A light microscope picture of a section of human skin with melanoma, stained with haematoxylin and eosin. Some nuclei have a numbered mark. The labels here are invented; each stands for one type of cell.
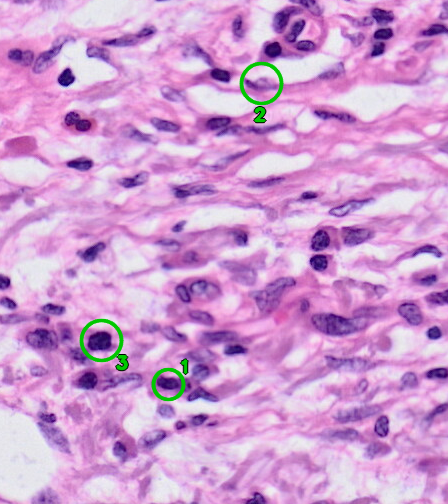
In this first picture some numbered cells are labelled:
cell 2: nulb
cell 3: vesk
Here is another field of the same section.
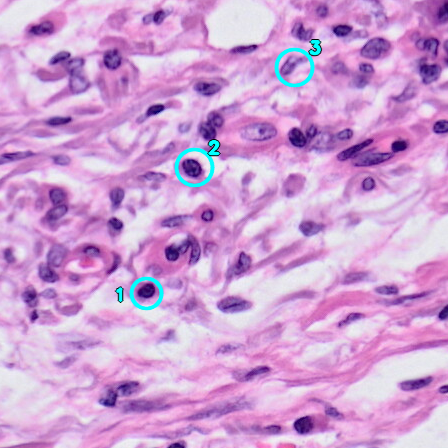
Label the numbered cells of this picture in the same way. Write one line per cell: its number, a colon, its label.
1: vesk
2: vesk
3: nulb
